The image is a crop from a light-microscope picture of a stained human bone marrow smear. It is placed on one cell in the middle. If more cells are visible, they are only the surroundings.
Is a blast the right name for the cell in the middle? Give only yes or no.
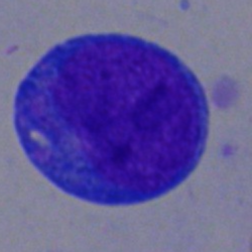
yes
